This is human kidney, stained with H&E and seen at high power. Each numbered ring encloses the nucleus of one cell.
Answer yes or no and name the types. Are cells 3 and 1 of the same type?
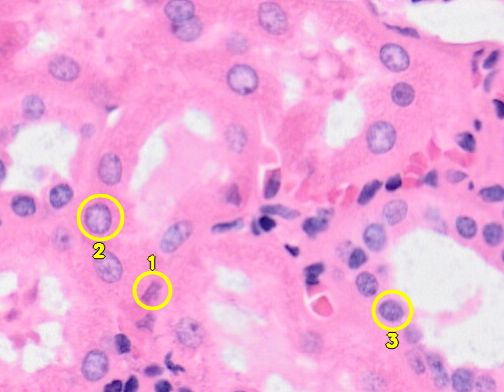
No, a collecting duct cell is what cell 3 is, and a proximal tubule cell is what cell 1 is.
